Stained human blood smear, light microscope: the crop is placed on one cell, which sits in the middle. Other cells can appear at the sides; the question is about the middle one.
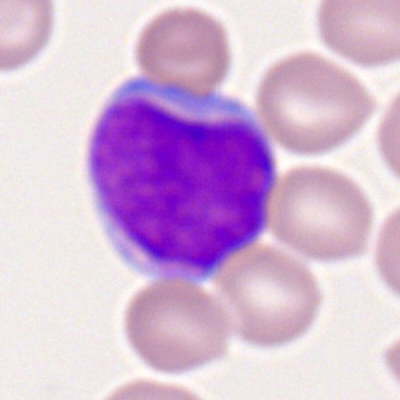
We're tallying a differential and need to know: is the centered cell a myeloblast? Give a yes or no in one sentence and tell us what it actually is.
Yes, the cell at the middle of the frame is a myeloblast.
